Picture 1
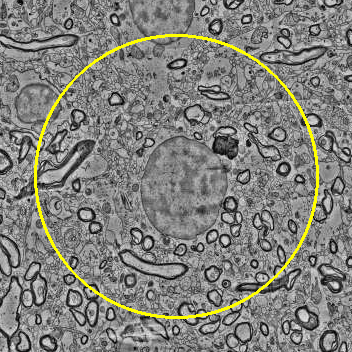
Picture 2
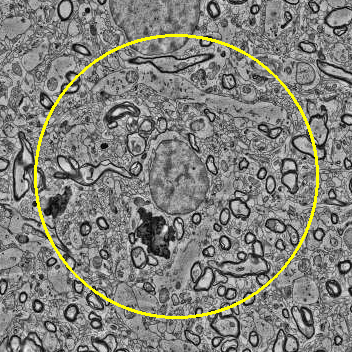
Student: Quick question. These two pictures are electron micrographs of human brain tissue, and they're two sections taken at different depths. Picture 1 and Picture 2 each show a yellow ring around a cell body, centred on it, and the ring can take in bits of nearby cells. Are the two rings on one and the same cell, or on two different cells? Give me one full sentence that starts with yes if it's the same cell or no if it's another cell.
Yes, one single cell is under each of the two rings.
